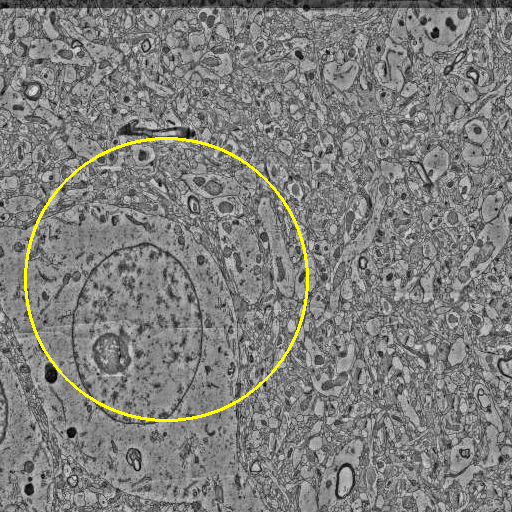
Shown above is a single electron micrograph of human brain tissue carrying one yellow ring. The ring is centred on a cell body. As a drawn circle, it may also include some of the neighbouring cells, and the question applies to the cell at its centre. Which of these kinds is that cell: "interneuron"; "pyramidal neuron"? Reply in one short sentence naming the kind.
The cell marked by the ring is a pyramidal neuron.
